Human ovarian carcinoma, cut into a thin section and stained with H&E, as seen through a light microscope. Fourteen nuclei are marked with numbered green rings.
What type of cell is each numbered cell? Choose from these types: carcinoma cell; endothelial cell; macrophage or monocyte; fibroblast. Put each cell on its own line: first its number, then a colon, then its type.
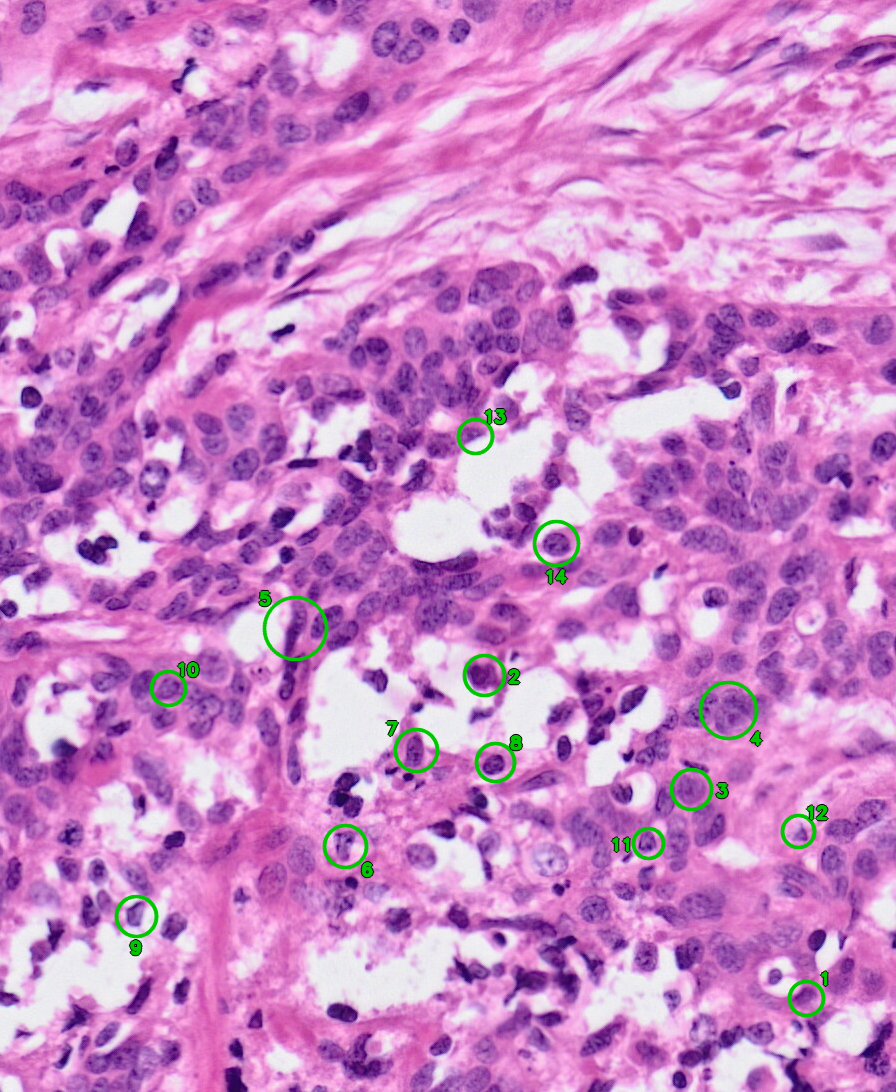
1: carcinoma cell
2: carcinoma cell
3: carcinoma cell
4: carcinoma cell
5: carcinoma cell
6: macrophage or monocyte
7: macrophage or monocyte
8: macrophage or monocyte
9: carcinoma cell
10: carcinoma cell
11: macrophage or monocyte
12: macrophage or monocyte
13: carcinoma cell
14: macrophage or monocyte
